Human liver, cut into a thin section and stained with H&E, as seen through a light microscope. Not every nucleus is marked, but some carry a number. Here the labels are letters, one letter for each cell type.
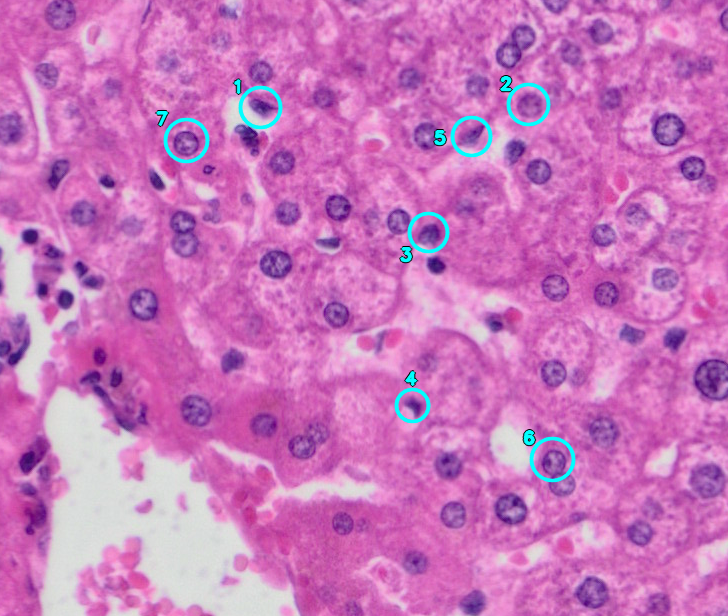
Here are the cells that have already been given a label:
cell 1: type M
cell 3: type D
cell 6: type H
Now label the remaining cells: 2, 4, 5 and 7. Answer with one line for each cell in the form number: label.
2: type H
4: type M
5: type M
7: type H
